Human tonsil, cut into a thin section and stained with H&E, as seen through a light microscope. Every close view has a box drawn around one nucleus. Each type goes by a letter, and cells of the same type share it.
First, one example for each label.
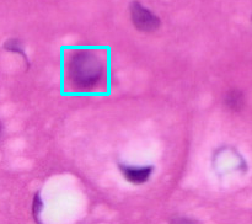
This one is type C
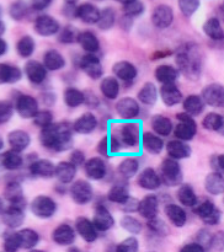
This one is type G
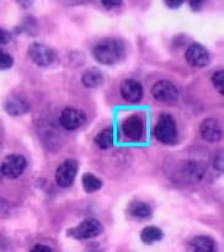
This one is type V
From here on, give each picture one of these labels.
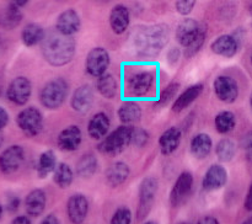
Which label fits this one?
type V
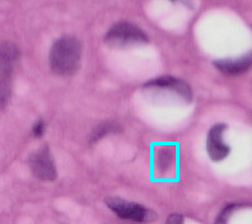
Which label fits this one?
type C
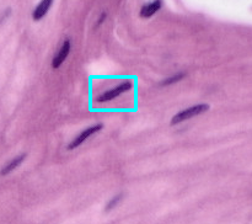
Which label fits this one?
type C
